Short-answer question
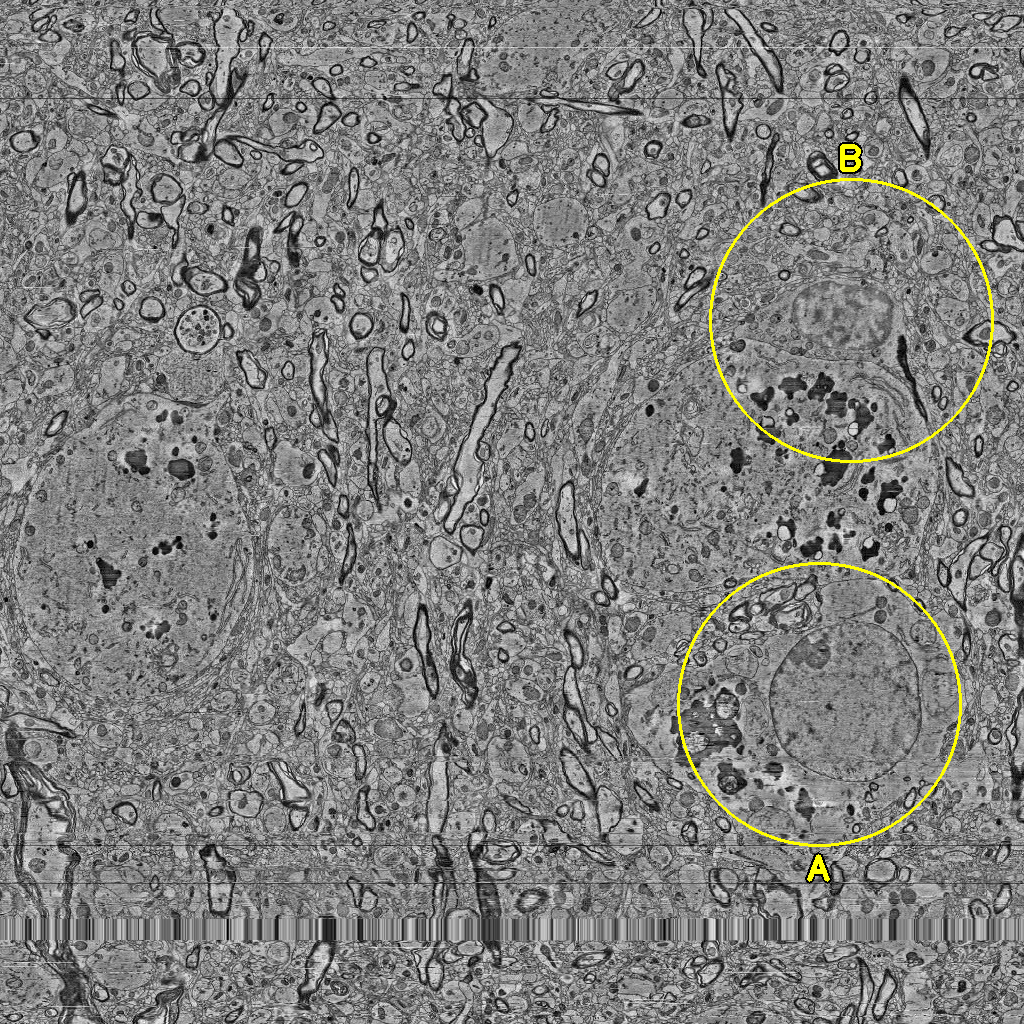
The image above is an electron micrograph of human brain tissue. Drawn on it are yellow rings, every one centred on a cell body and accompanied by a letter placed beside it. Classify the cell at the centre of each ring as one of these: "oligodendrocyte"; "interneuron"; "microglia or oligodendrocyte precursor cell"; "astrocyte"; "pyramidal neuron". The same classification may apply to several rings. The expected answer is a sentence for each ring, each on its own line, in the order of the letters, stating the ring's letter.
The cell at ring A is classified as an astrocyte.
The cell at ring B is classified as an oligodendrocyte.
